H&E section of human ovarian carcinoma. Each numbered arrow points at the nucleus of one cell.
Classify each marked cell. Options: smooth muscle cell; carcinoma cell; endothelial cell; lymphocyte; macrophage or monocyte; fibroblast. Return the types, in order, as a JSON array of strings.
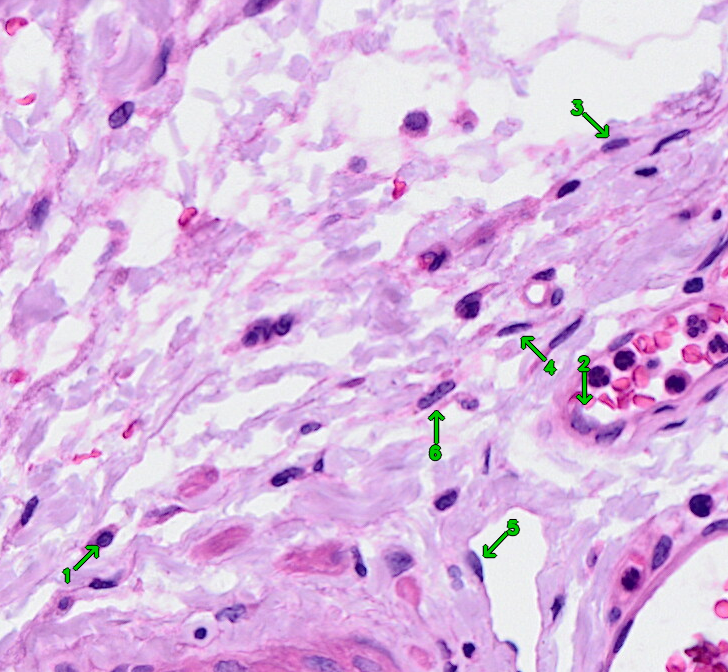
["macrophage or monocyte", "endothelial cell", "fibroblast", "fibroblast", "endothelial cell", "macrophage or monocyte"]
